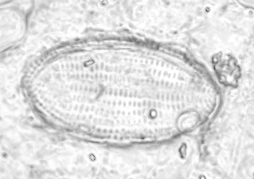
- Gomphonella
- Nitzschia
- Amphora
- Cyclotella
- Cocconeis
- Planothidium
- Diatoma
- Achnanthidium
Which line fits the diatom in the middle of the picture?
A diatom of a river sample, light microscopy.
Cocconeis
